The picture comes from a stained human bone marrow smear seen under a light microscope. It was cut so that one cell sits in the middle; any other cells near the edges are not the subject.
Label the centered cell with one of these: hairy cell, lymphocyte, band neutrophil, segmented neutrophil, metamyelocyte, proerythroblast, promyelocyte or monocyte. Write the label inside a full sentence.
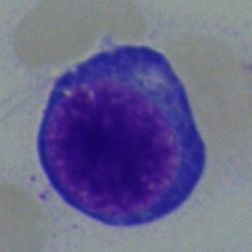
For this crop, the central cell is a proerythroblast.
